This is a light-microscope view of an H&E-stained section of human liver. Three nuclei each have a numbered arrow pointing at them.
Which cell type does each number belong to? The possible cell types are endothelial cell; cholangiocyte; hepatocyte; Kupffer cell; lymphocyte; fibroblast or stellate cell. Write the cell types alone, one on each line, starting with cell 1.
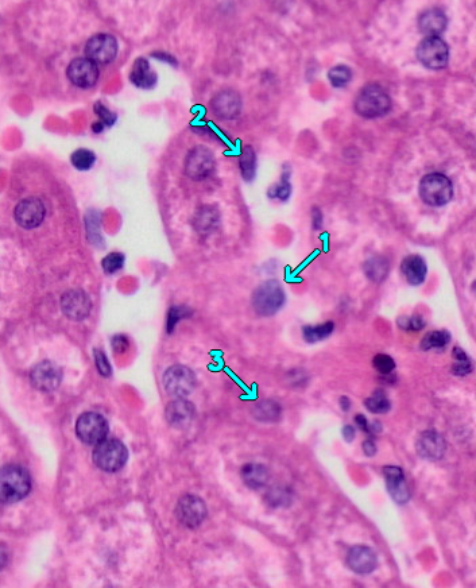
endothelial cell
Kupffer cell
hepatocyte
